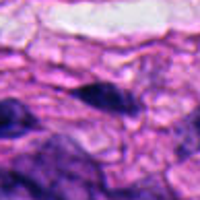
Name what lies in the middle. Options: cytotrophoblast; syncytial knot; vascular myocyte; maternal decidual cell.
vascular myocyte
